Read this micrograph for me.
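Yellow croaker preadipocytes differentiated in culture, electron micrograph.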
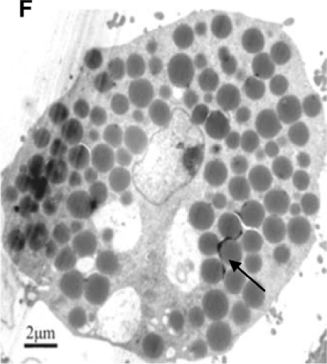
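The droplets are smooth, evenly grey and sharply round, ranging from small to fairly large, and they pack the cytoplasm especially toward the edge of the cell. Between them lie paler, empty-looking spaces and a faint outline near the centre. The droplets are not bounded by a distinct double membrane and show no inner structure.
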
